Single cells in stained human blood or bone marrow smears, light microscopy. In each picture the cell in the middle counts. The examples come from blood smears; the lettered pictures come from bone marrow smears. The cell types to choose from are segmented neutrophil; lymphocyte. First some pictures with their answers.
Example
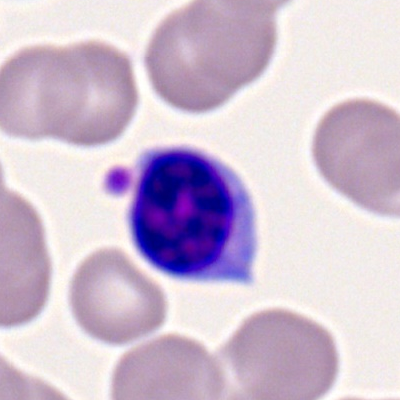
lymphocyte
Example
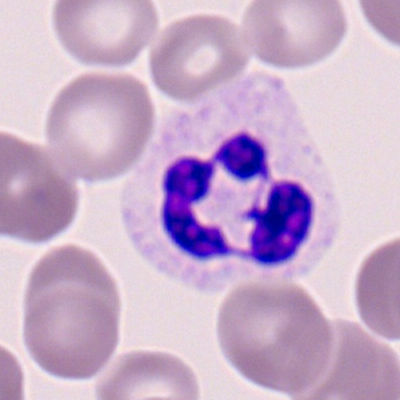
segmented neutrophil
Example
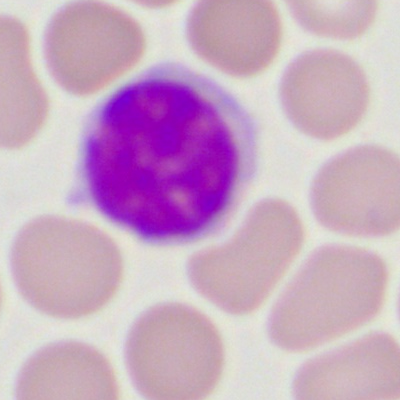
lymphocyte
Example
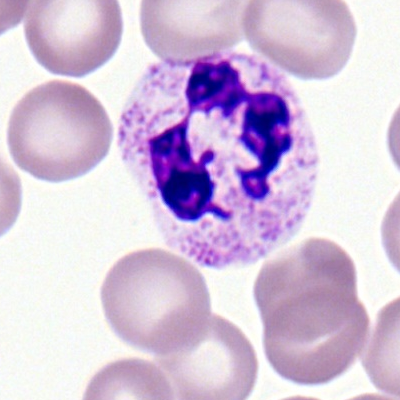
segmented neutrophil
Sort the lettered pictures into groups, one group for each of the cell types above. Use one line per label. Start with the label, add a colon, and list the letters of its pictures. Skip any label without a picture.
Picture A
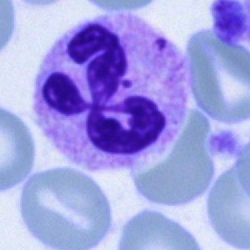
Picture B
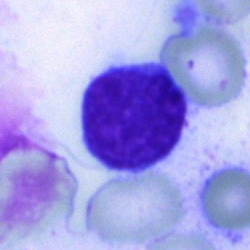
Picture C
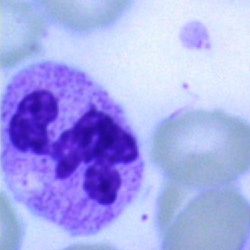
segmented neutrophil: A, C
lymphocyte: B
